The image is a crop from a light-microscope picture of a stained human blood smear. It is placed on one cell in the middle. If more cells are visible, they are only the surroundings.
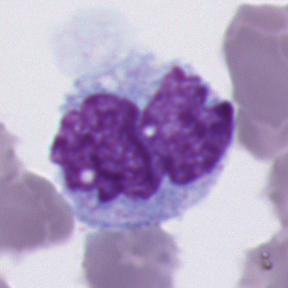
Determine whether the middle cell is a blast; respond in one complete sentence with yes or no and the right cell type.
No, the central cell should be identified as a monocyte, not as a blast.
